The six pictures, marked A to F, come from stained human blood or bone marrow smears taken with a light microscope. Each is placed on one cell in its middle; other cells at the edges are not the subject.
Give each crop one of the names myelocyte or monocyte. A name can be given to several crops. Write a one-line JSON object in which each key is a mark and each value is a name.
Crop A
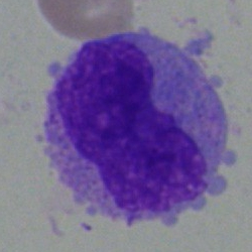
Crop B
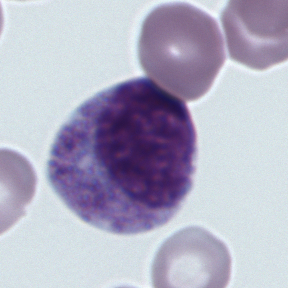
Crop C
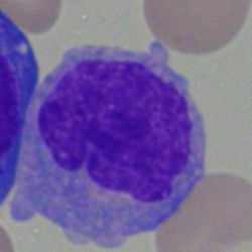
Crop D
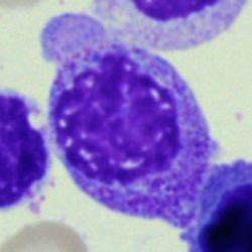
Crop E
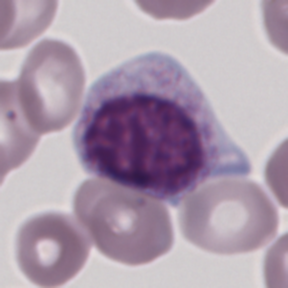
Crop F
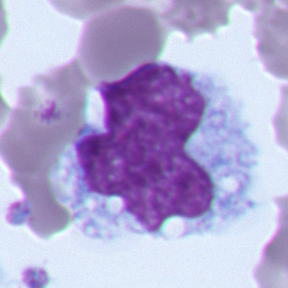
{"A": "monocyte", "B": "myelocyte", "C": "monocyte", "D": "myelocyte", "E": "myelocyte", "F": "monocyte"}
